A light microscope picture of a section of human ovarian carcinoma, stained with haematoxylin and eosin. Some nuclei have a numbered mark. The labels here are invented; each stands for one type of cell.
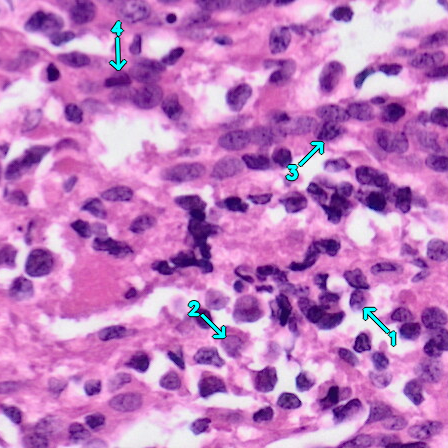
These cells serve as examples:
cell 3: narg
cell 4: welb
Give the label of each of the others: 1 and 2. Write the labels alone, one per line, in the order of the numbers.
welb
welb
